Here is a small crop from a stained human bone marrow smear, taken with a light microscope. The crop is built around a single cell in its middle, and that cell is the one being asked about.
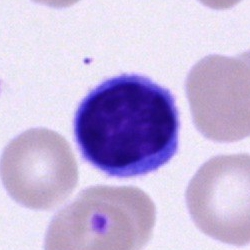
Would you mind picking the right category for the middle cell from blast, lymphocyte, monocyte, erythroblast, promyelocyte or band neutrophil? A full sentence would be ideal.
Whatever else lies nearby, the middle cell is a lymphocyte.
